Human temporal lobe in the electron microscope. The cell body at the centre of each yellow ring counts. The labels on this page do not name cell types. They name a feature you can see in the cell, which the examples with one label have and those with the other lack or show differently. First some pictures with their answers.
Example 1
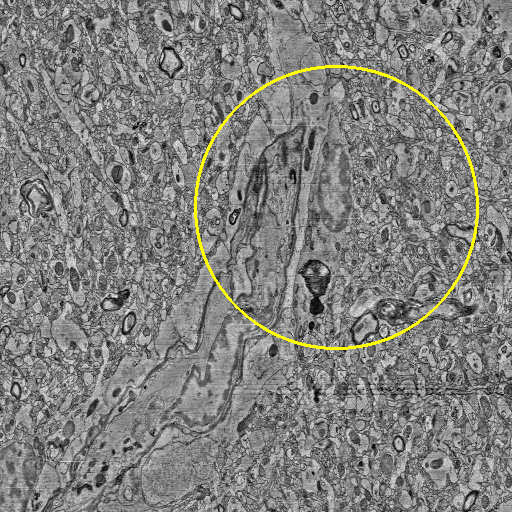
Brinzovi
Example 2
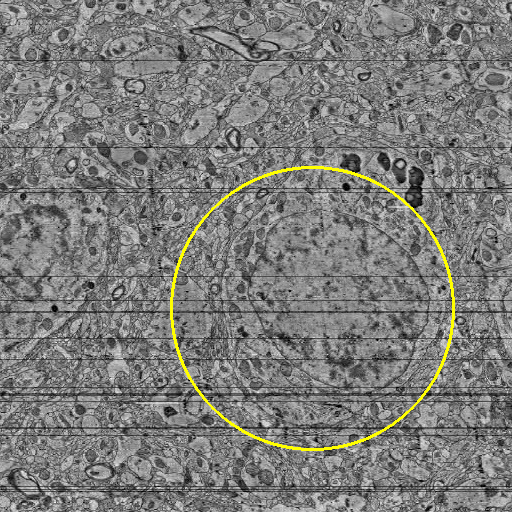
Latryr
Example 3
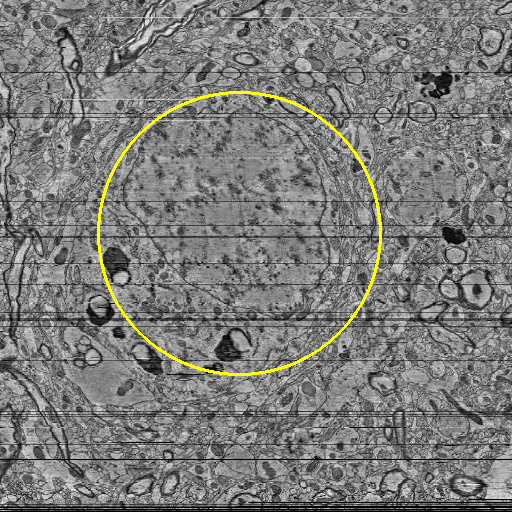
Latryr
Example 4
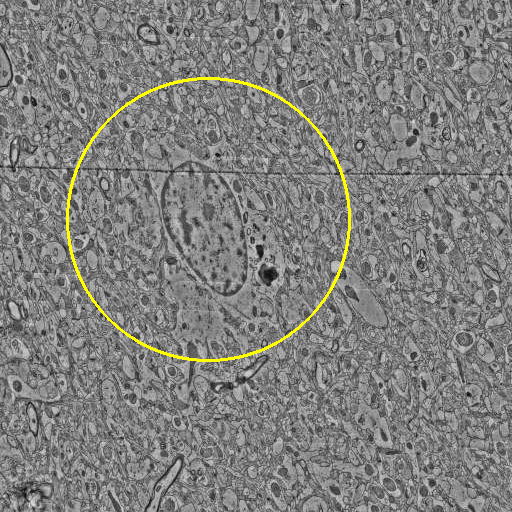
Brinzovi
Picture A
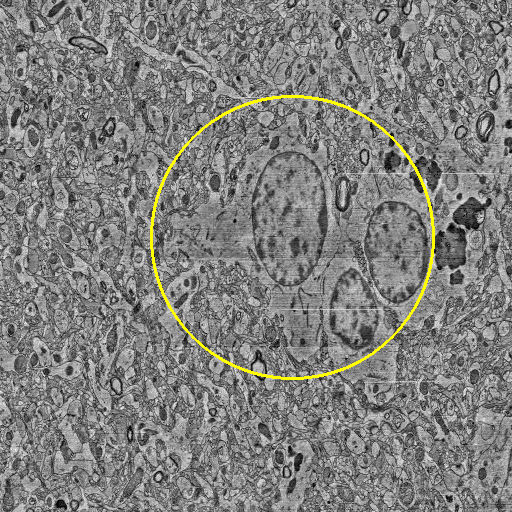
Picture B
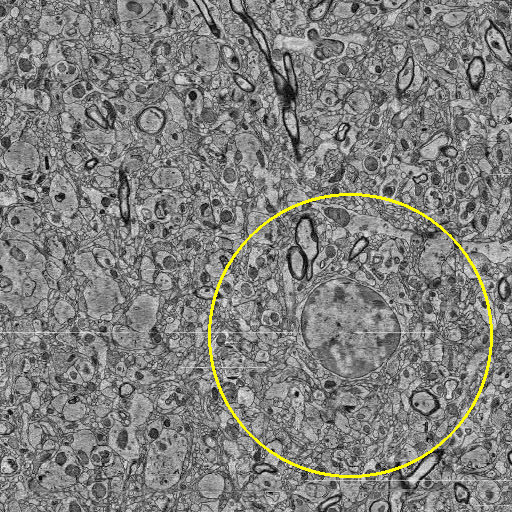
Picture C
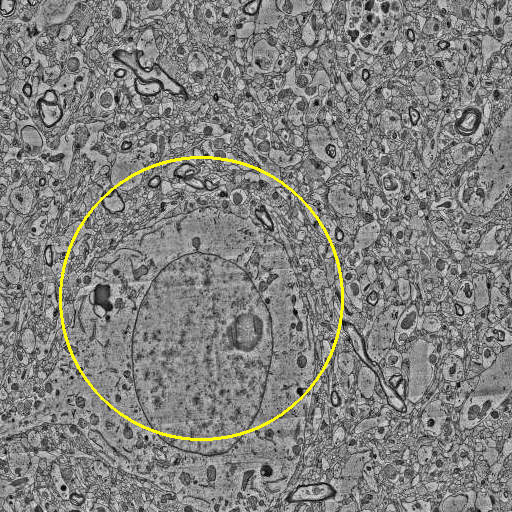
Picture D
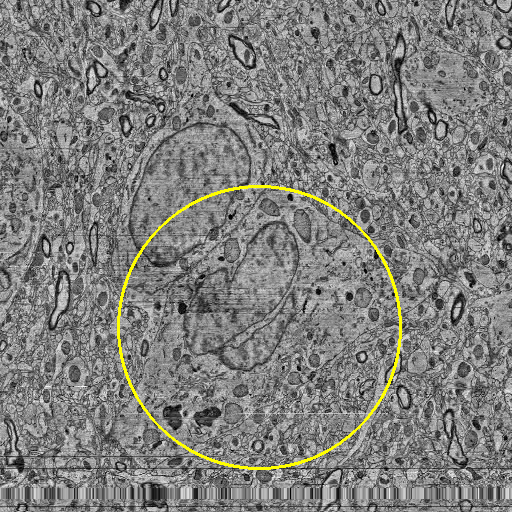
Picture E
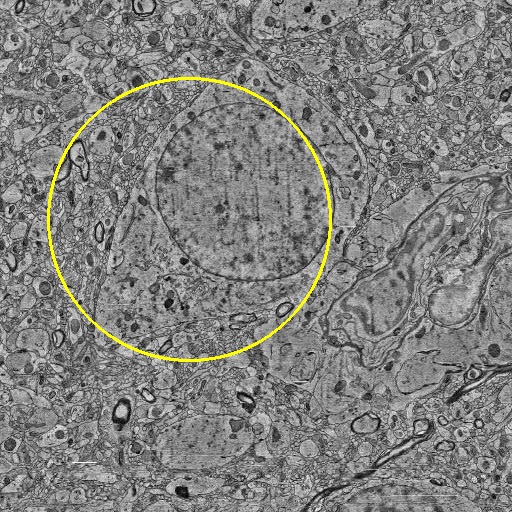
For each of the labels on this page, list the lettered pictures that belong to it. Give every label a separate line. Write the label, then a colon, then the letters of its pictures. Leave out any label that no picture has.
Brinzovi: A, C, D
Latryr: B, E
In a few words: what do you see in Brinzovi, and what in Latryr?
Brinzovi, clearly elongated nuclei; Latryr, round or nearly round nuclei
